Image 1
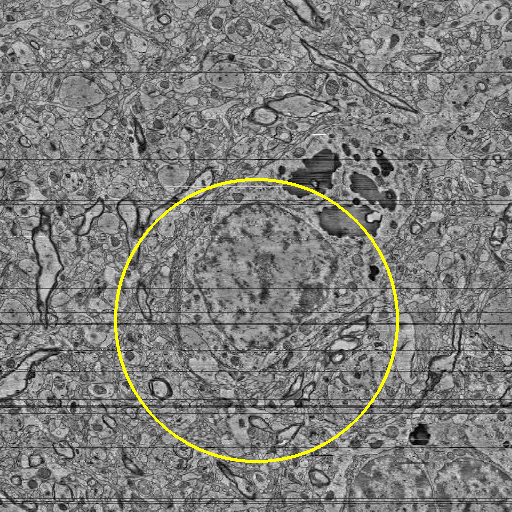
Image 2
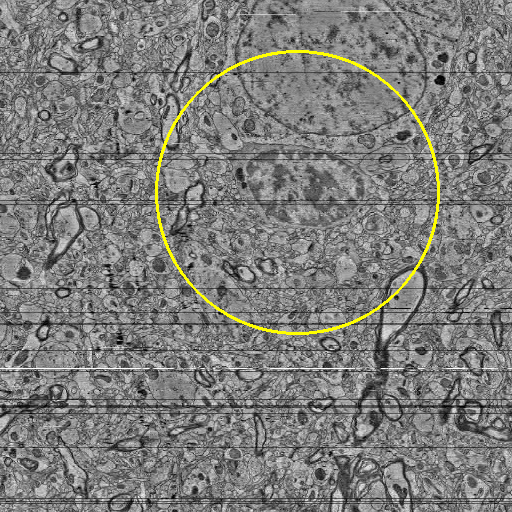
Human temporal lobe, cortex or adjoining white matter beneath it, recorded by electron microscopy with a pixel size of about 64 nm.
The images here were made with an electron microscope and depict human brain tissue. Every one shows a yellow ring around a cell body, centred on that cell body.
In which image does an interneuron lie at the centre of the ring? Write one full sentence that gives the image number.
My answer is image 1, where the asked-for cell sits at the centre of the ring.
